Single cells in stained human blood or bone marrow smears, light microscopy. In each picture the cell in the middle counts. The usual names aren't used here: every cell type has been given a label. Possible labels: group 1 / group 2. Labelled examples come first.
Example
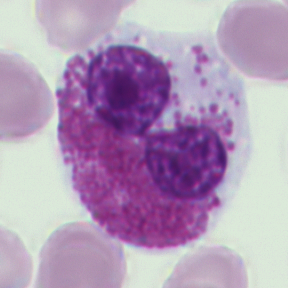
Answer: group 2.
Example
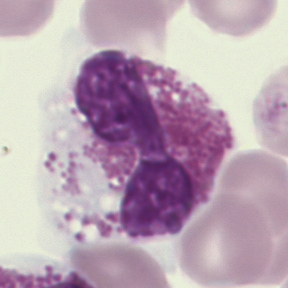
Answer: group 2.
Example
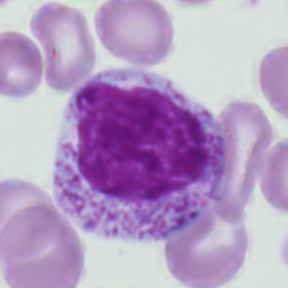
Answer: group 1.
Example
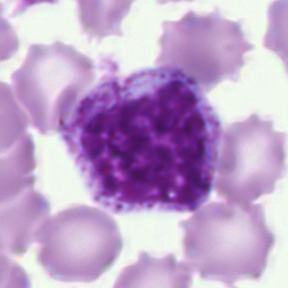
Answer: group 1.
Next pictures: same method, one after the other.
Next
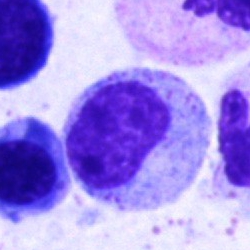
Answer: group 1.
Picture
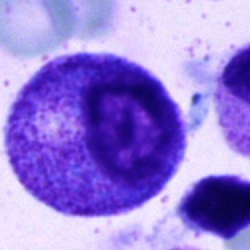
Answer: group 1.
